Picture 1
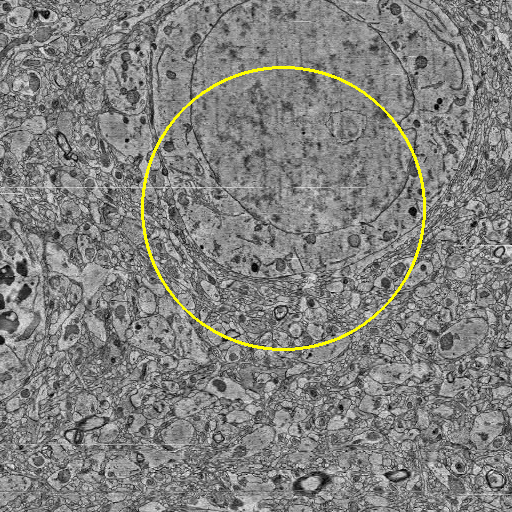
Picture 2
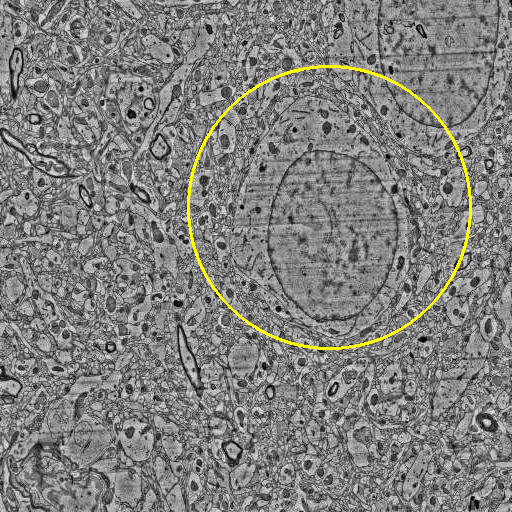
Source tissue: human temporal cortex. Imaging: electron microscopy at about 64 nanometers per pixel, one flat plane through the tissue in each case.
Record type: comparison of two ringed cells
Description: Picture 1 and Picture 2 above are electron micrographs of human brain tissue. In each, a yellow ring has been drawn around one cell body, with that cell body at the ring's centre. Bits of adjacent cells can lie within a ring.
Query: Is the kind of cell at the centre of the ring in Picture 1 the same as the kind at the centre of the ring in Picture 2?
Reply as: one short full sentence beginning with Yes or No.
Yes, the two ringed cells are of the same kind.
